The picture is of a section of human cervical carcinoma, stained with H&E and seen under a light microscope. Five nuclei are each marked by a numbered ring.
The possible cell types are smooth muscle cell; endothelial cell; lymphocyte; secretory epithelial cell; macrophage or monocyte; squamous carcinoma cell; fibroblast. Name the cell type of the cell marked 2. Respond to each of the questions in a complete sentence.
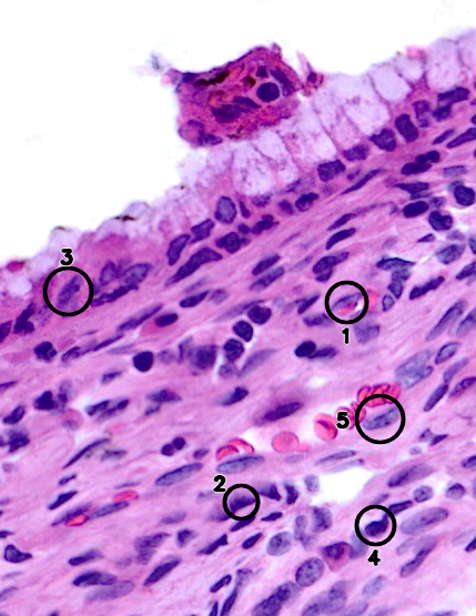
The cell to which the number 2 is assigned is a fibroblast.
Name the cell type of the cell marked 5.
The nucleus labelled 5 belongs to an endothelial cell.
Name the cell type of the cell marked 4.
The cell carrying label 4 is identified as a lymphocyte.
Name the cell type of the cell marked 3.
The cell carrying label 3 is identified as a secretory epithelial cell.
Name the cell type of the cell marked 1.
The label 1 in this section denotes an endothelial cell.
